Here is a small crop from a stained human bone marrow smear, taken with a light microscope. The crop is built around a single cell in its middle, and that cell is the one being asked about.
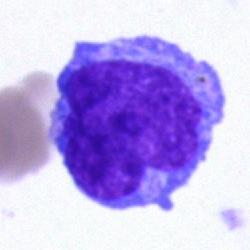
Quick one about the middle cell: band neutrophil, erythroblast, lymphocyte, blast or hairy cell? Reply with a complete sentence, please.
The cell that lies at the centre of the crop is a blast.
